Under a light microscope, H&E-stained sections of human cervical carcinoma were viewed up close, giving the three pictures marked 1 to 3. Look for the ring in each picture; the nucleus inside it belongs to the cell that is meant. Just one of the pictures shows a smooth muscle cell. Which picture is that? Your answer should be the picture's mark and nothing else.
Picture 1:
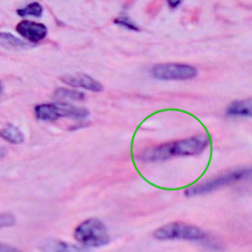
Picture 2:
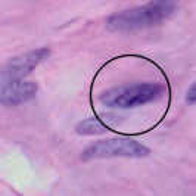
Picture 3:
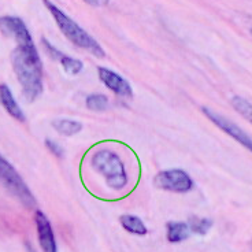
1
